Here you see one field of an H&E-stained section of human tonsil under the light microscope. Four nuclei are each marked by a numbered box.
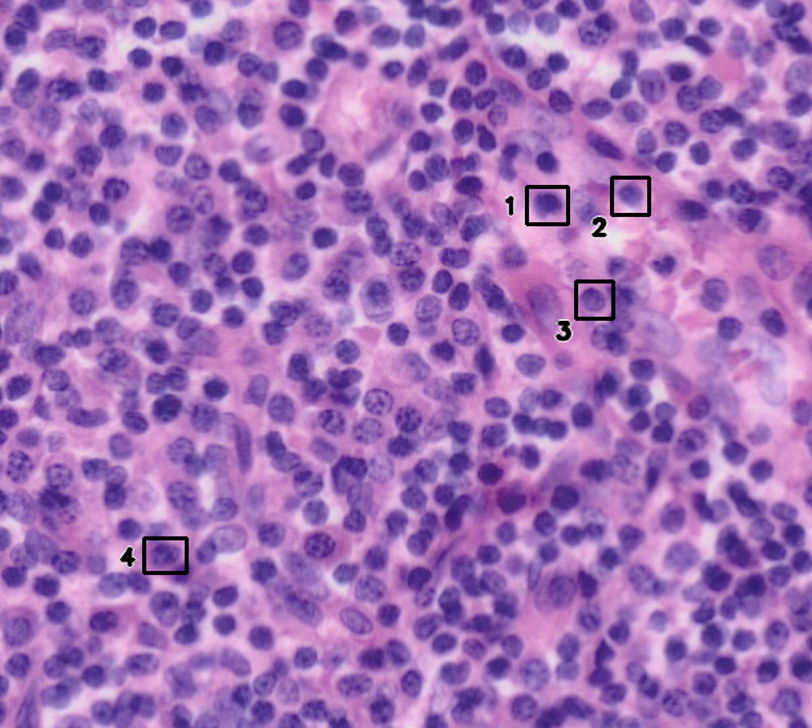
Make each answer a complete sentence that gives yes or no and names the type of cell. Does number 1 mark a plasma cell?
No, the cell marked 1 is an endothelial cell rather than a plasma cell.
